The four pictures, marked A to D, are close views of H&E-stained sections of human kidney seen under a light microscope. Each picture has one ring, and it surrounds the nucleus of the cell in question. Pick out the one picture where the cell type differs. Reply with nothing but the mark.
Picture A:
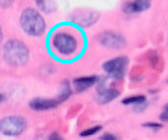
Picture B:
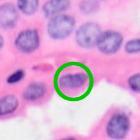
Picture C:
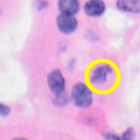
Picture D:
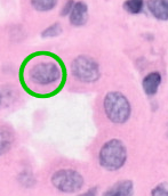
C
